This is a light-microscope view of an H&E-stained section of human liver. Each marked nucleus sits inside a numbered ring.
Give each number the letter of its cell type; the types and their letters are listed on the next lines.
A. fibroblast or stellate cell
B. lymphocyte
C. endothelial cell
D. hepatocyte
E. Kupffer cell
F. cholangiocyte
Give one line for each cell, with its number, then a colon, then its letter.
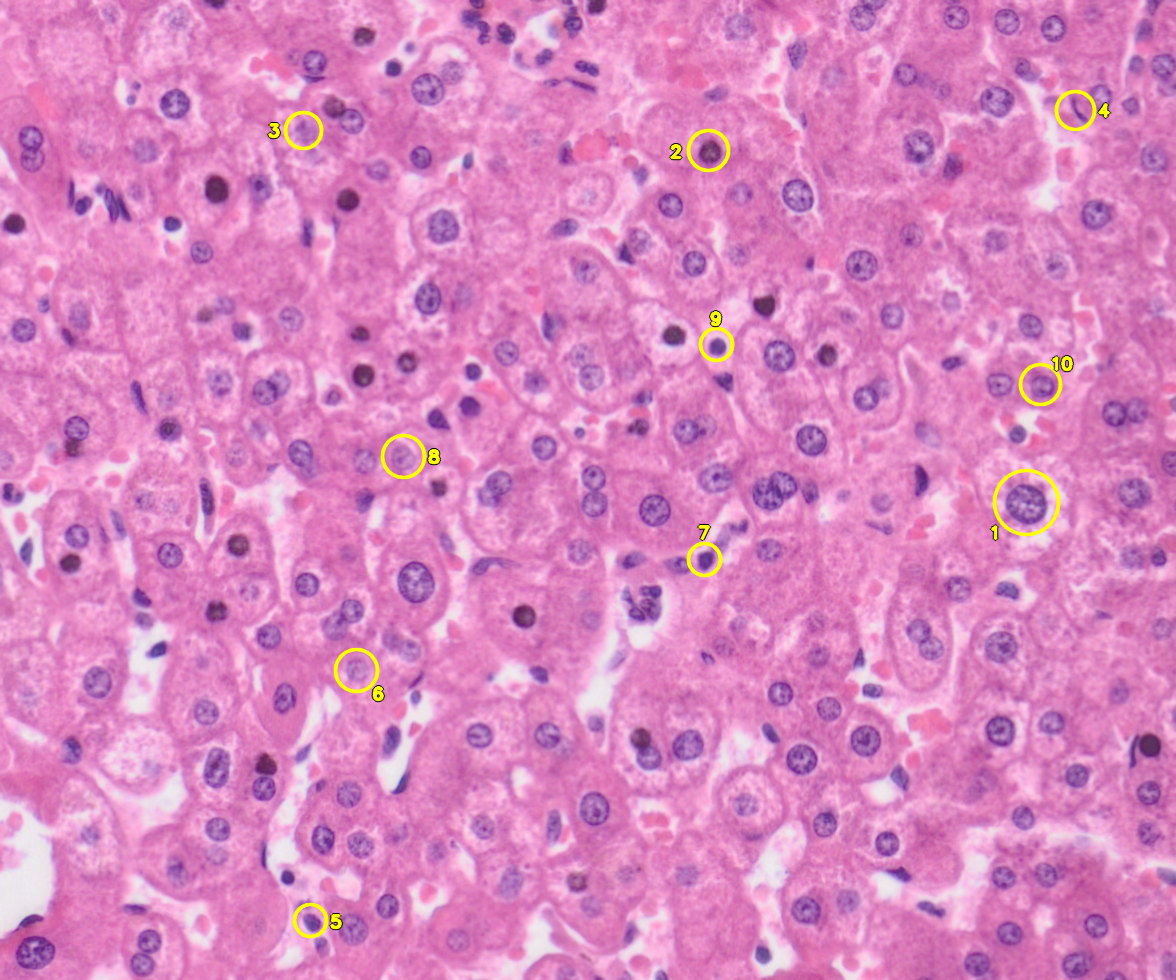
1: D
2: D
3: D
4: A
5: B
6: D
7: B
8: D
9: B
10: D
